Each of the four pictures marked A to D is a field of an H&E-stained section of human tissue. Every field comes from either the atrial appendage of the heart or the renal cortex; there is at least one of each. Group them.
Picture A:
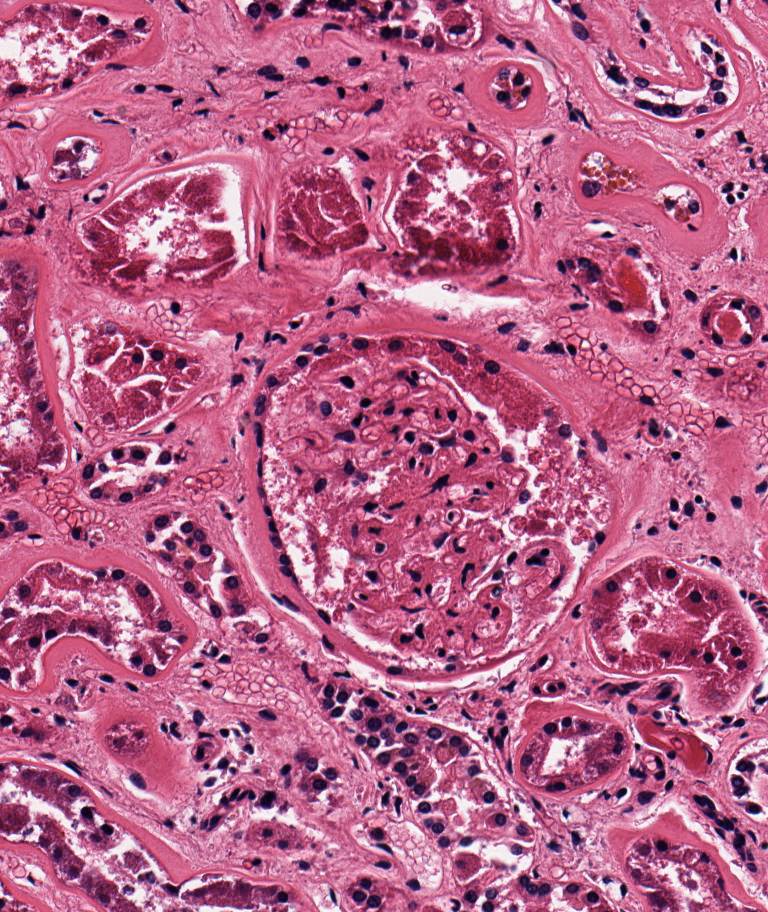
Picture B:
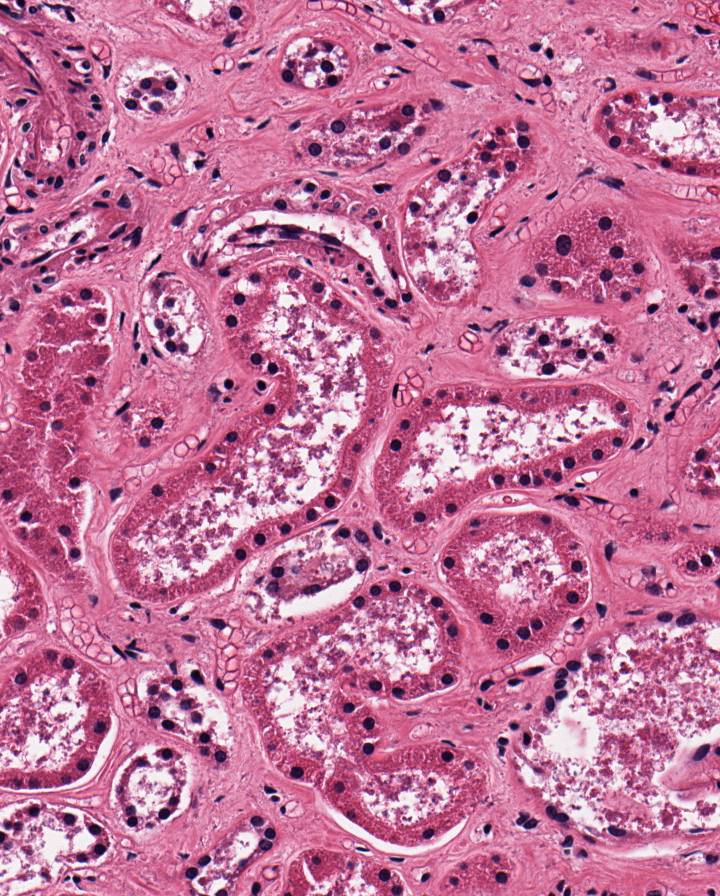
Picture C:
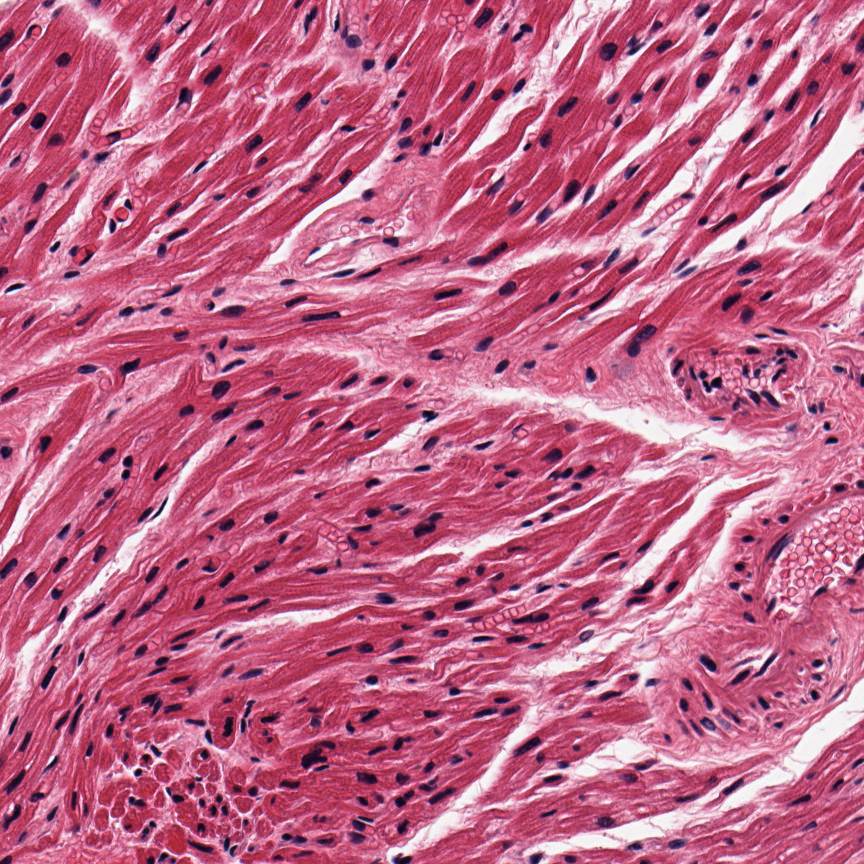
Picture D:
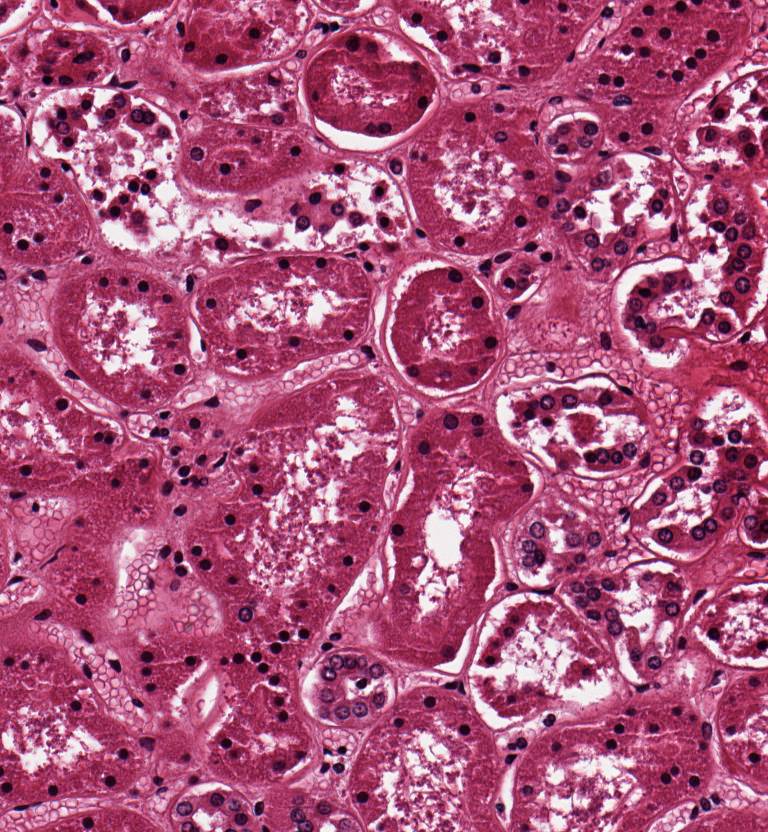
A: renal cortex
B: renal cortex
C: atrial appendage of the heart
D: renal cortex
